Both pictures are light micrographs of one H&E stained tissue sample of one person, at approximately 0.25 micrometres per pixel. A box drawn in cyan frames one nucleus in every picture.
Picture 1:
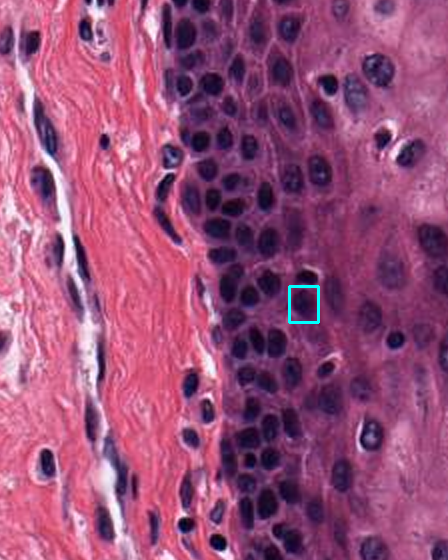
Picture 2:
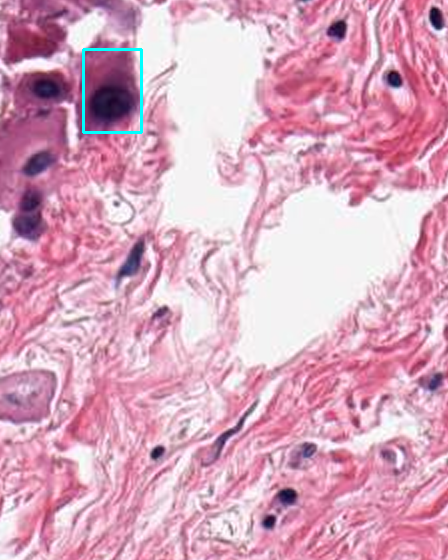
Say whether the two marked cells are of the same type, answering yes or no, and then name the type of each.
Yes, both are squamous epithelial cells.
